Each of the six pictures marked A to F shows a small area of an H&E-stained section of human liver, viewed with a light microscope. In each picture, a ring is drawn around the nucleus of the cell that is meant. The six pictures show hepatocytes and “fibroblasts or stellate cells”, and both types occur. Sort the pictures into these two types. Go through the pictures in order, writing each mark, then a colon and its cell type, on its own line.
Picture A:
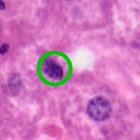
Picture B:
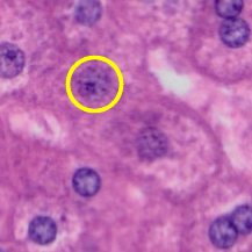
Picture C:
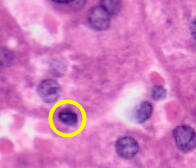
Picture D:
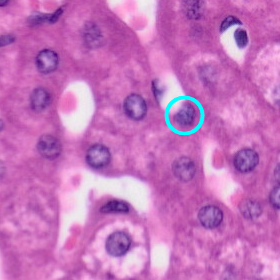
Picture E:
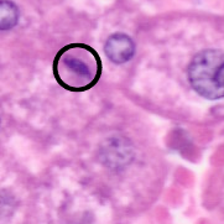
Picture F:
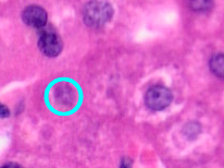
A: fibroblast or stellate cell
B: hepatocyte
C: fibroblast or stellate cell
D: fibroblast or stellate cell
E: fibroblast or stellate cell
F: hepatocyte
